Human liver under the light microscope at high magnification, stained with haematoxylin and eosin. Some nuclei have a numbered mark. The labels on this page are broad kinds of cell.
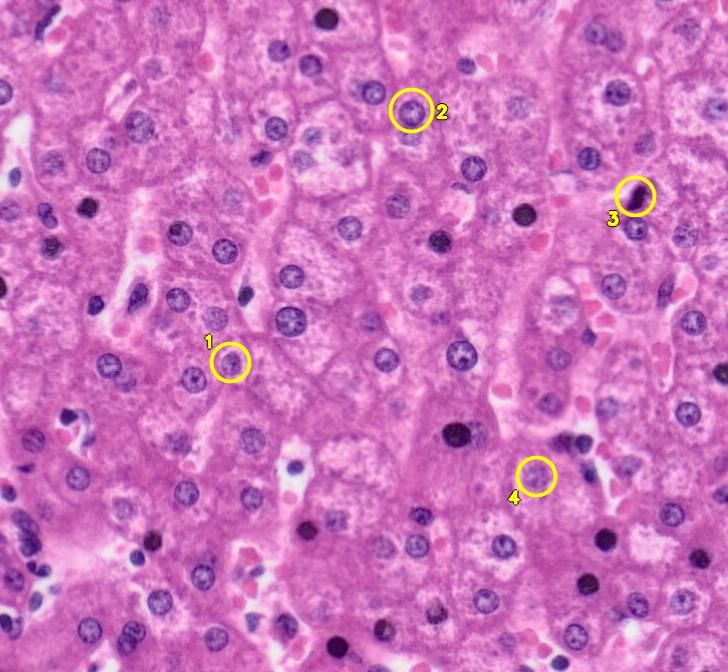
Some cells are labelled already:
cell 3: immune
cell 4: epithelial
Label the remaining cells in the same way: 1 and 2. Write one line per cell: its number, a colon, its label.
1: epithelial
2: epithelial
